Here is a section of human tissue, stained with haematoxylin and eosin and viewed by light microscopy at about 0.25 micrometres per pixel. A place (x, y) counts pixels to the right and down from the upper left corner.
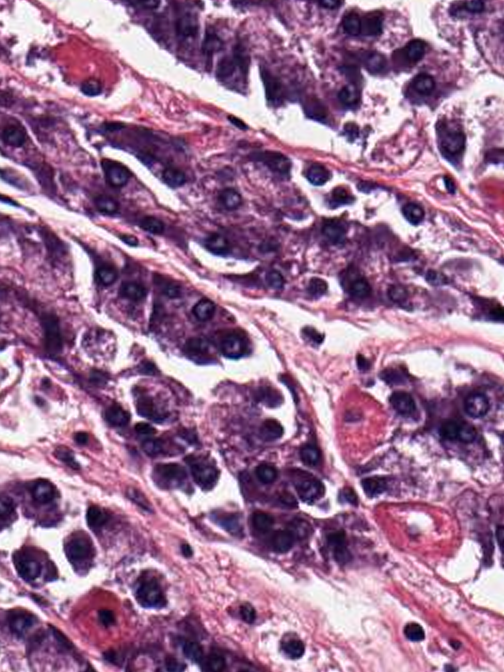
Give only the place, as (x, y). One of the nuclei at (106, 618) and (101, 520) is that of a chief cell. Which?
(101, 520)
